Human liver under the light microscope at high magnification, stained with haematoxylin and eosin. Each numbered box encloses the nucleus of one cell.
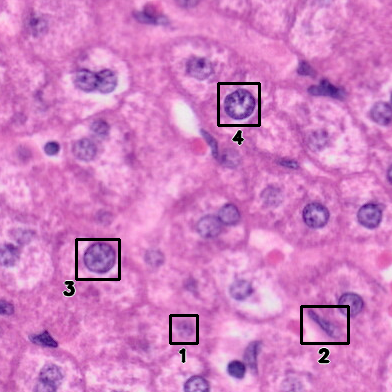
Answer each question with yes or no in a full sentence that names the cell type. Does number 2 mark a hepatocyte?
No, rather than a hepatocyte, cell number 2 is a Kupffer cell.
